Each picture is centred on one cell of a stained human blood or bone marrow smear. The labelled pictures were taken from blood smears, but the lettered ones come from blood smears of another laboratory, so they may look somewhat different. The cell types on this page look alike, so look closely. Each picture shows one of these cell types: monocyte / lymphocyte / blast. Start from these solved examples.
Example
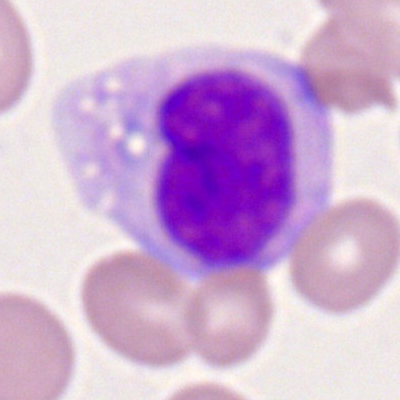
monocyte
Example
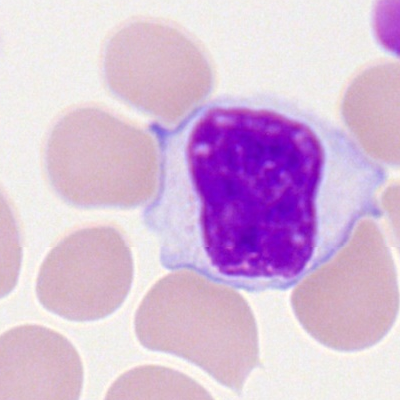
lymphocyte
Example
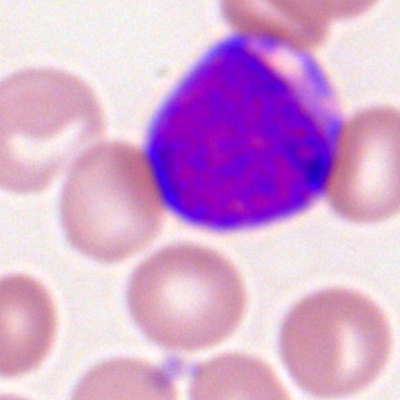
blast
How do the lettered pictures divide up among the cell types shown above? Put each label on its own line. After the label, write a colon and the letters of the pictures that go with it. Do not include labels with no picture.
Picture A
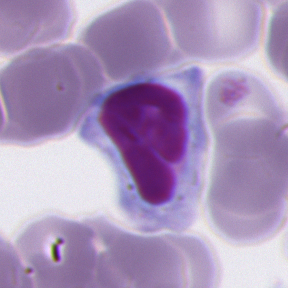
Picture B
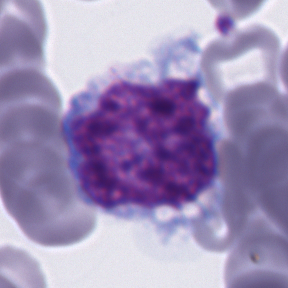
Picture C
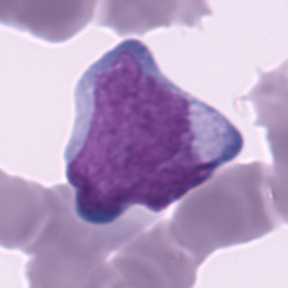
monocyte: B
lymphocyte: A
blast: C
